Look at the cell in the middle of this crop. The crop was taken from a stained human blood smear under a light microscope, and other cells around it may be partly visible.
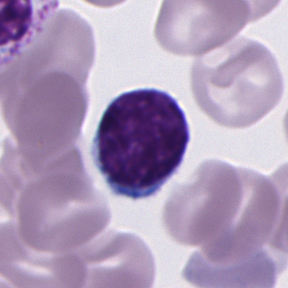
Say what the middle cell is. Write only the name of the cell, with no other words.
typical lymphocyte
